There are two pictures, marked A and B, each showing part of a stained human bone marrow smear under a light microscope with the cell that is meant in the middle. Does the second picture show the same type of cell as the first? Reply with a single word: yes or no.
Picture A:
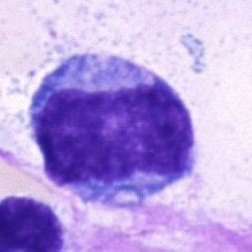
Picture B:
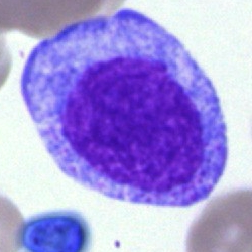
no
